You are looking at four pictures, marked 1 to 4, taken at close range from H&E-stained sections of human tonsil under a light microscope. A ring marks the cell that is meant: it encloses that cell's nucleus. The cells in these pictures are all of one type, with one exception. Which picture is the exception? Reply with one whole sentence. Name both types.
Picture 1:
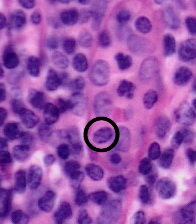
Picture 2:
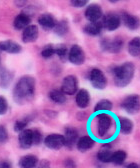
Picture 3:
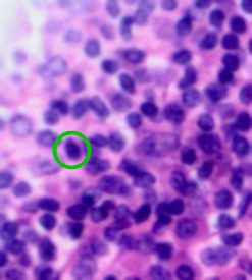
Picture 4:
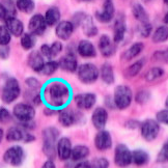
The different one is picture 1; it shows an endothelial cell, whereas all the others show small lymphocytes.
